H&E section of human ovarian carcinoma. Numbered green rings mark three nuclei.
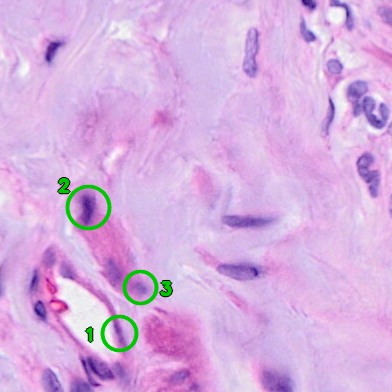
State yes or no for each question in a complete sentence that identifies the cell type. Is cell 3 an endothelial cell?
No, number 3 belongs to a smooth muscle cell, not to an endothelial cell.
